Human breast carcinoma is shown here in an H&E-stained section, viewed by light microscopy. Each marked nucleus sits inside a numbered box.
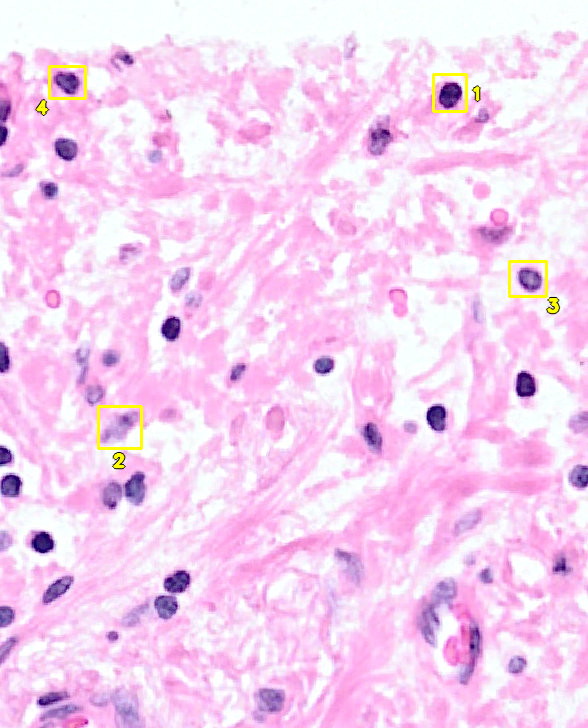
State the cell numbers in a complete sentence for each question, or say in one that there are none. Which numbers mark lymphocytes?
Cells 1, 3 and 4 in the section are typed as lymphocytes.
